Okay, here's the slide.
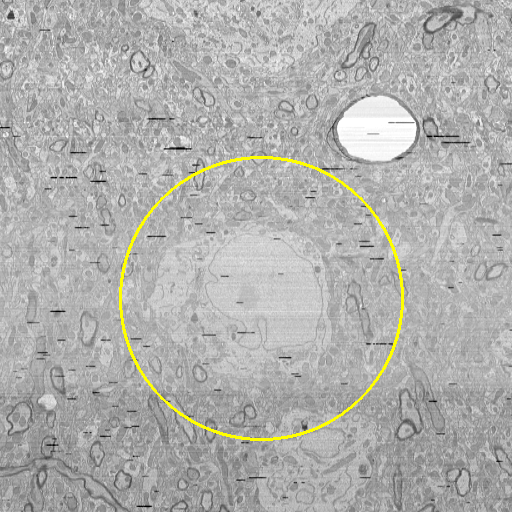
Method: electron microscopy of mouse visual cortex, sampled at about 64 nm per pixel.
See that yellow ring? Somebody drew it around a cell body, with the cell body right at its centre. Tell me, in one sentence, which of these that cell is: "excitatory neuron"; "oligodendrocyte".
The cell in the middle of the ring is an excitatory neuron.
